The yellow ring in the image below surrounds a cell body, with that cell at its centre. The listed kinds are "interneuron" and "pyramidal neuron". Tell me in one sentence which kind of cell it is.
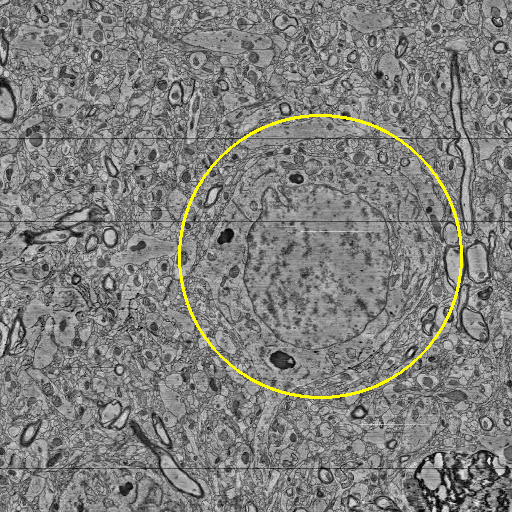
The centre of the ring holds a pyramidal neuron.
